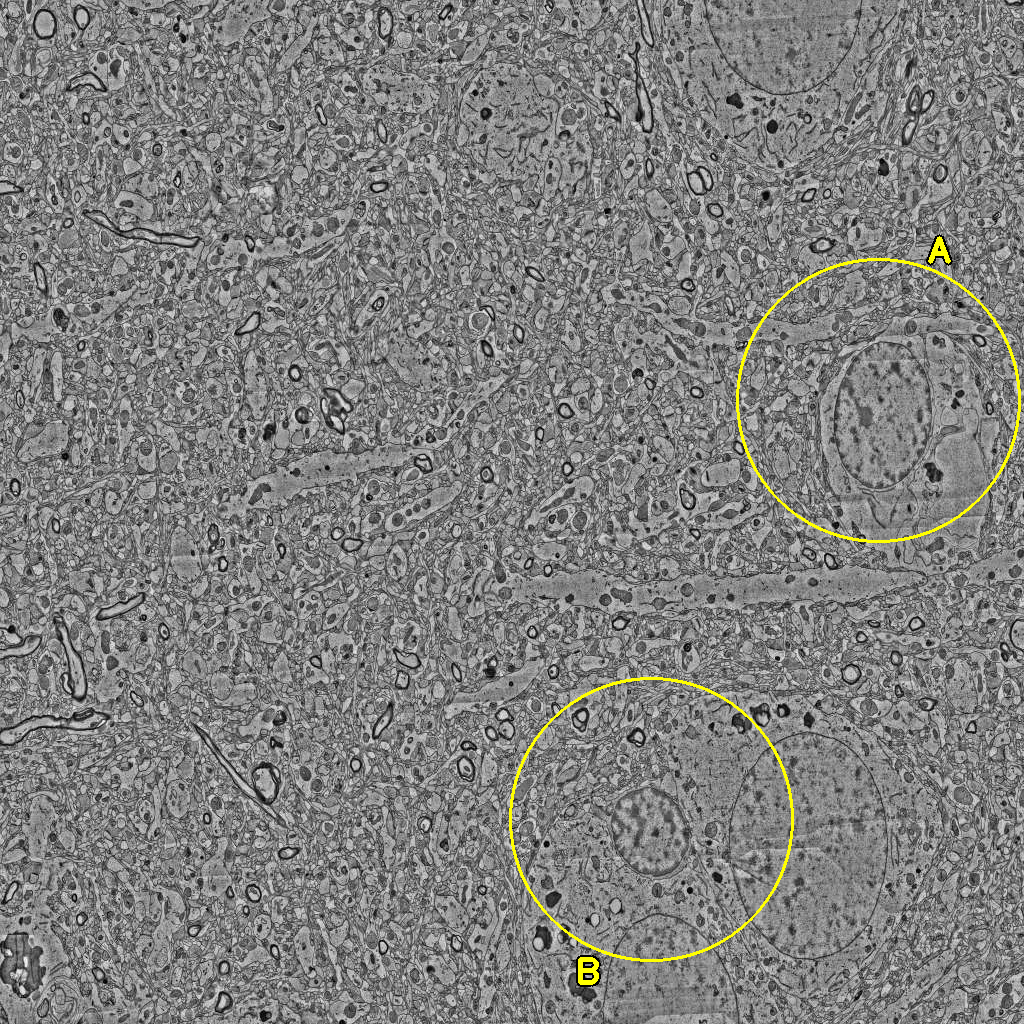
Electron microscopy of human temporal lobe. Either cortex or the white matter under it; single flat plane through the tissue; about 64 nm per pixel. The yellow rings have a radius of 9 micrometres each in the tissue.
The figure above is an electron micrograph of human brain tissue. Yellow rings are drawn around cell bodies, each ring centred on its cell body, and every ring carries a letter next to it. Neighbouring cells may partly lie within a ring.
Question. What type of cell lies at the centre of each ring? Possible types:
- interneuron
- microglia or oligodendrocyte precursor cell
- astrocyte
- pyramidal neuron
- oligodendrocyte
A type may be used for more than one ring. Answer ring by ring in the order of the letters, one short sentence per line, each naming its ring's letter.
In ring A, the central cell is an astrocyte.
In ring B, the central cell is an oligodendrocyte.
